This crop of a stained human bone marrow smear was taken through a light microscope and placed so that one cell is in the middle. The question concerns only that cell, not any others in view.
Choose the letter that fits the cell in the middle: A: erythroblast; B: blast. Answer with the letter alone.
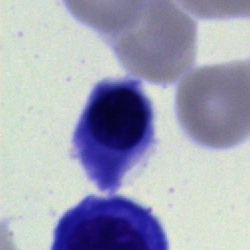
A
